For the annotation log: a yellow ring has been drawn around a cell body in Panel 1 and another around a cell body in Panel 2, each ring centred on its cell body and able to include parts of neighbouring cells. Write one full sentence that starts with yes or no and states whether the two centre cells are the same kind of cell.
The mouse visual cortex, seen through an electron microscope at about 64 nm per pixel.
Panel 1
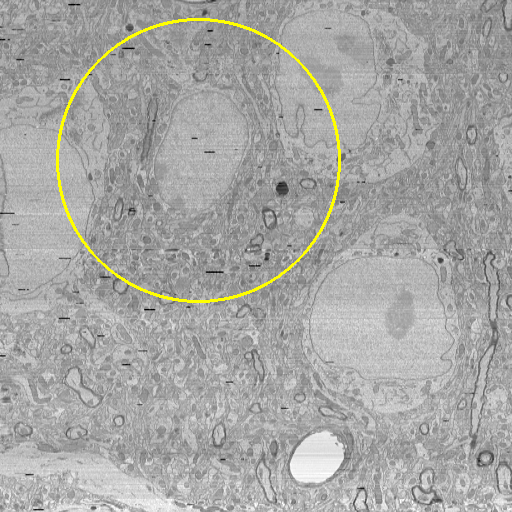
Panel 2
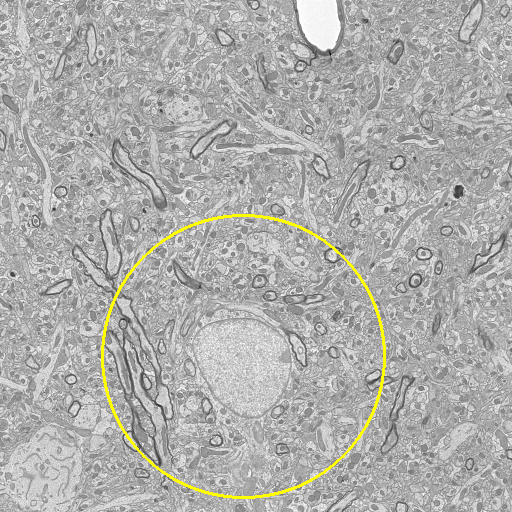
Yes, the two centre cells are the same kind of cell.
